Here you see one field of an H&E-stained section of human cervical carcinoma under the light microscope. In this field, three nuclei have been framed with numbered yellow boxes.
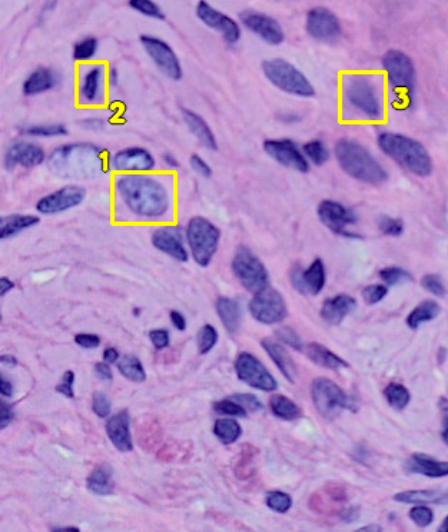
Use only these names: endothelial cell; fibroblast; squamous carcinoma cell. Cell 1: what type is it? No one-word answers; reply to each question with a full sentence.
Cell number 1 in this section is an endothelial cell.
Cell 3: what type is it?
In the marked set, the cell given number 3 is a fibroblast.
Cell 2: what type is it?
Recognised here as a fibroblast is the cell numbered 2.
